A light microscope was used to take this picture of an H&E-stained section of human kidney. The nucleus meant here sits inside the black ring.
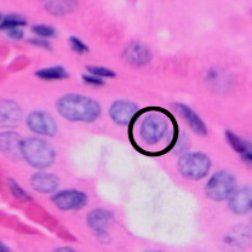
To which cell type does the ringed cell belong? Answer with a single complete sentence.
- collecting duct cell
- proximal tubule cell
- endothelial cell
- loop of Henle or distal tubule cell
This is a collecting duct cell.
